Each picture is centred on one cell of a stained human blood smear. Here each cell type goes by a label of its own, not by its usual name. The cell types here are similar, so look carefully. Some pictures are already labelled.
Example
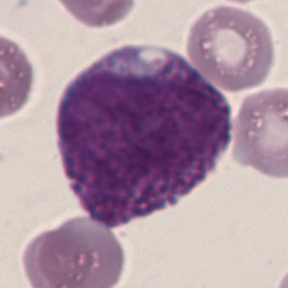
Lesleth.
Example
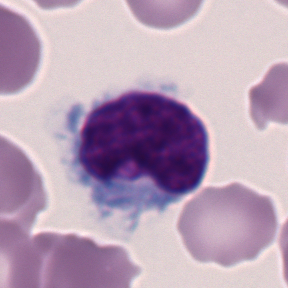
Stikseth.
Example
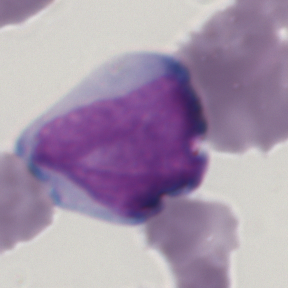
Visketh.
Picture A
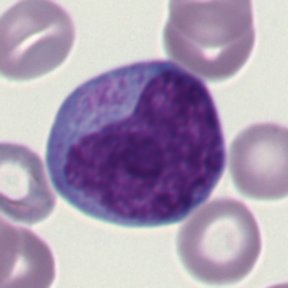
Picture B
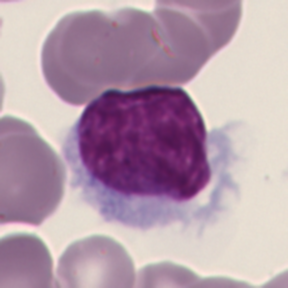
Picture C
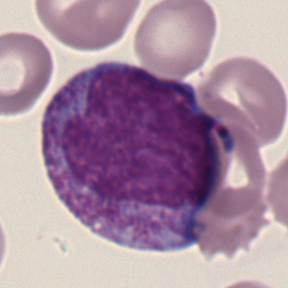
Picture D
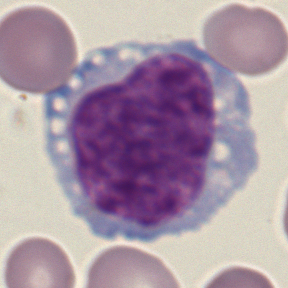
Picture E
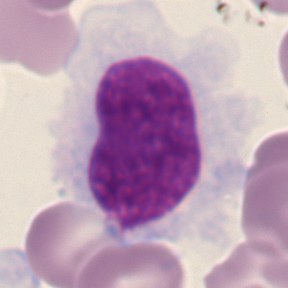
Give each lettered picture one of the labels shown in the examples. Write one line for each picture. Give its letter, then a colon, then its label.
A: Lesleth.
B: Stikseth.
C: Lesleth.
D: Visketh.
E: Stikseth.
